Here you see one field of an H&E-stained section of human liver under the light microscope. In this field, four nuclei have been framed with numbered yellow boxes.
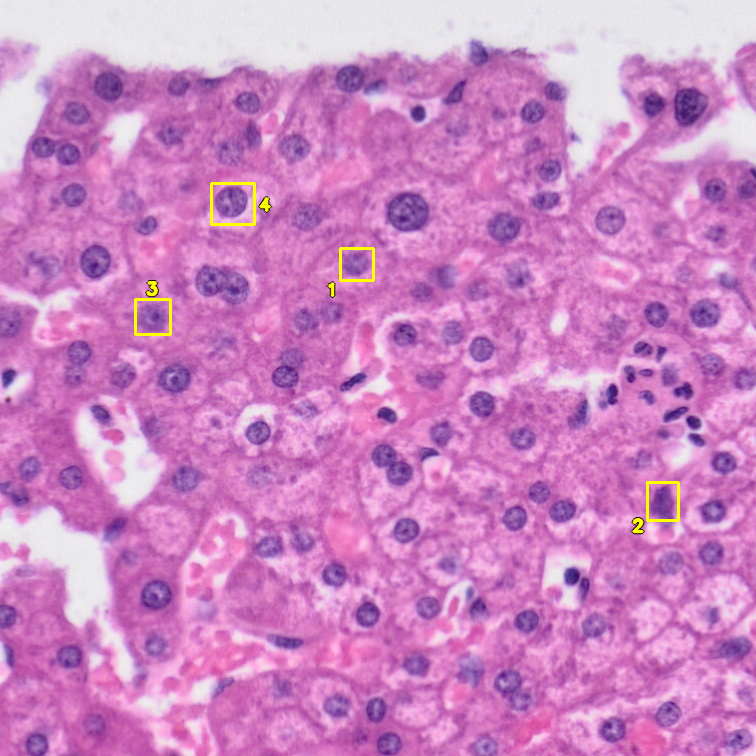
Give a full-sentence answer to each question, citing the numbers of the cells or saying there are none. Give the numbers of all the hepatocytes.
The cells shown with numbers 1, 3 and 4 are hepatocytes.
